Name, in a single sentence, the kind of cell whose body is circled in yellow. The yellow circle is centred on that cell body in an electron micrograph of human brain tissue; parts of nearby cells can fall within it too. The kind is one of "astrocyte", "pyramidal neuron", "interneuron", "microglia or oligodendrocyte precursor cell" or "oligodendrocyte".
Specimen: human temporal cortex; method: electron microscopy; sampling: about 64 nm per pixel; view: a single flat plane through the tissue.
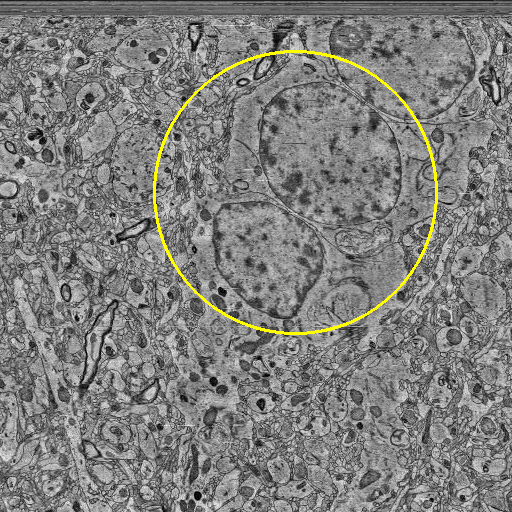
The circled cell body belongs to an astrocyte.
